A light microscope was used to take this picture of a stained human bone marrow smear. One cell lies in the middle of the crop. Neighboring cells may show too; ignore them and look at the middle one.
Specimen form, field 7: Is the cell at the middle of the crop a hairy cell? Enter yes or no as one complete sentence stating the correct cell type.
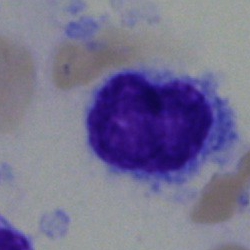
Yes, a hairy cell is what the central cell is.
